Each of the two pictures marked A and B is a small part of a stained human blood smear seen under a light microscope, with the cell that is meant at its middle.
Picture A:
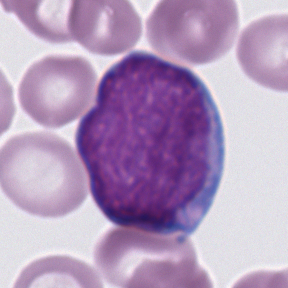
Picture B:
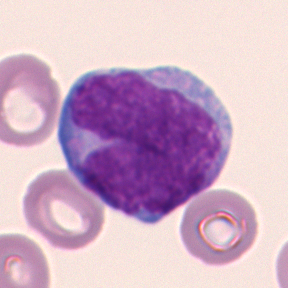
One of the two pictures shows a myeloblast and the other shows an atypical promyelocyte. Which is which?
A: myeloblast
B: atypical promyelocyte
